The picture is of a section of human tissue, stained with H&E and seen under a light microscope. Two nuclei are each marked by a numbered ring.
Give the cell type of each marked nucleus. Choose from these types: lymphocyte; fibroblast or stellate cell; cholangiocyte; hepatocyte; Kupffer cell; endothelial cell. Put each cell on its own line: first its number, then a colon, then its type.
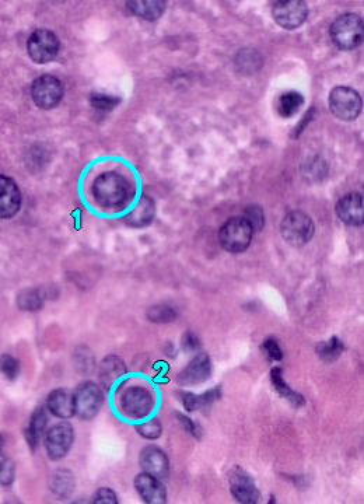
1: hepatocyte
2: cholangiocyte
